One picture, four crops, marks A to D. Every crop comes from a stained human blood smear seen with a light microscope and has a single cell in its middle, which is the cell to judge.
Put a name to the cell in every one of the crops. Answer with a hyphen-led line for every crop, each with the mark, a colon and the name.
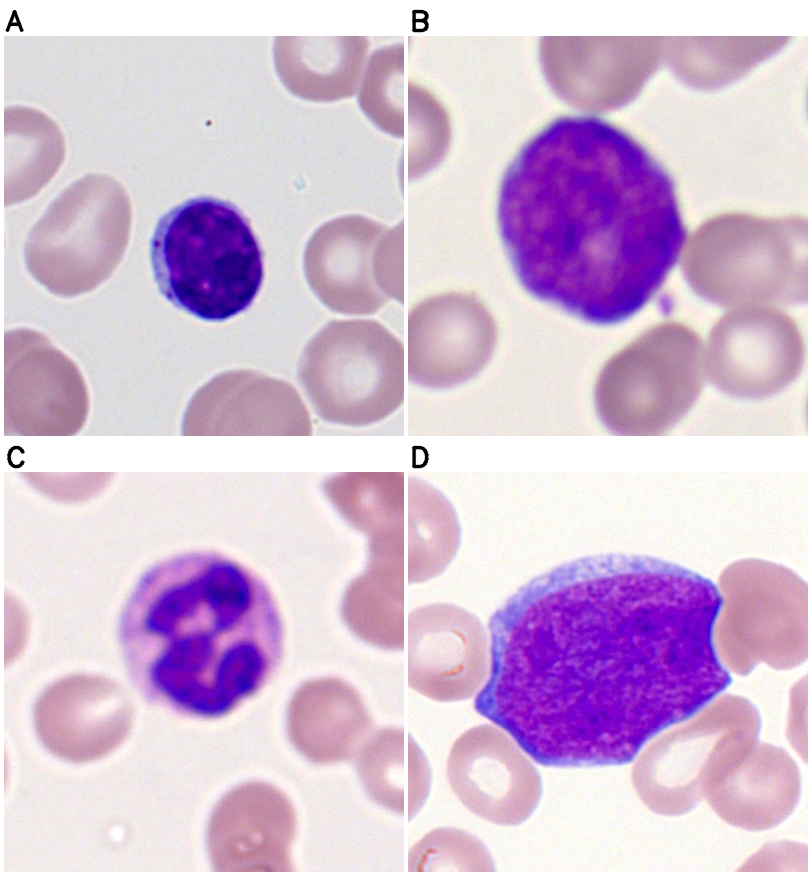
- A: lymphocyte
- B: myeloblast
- C: segmented neutrophil
- D: myeloblast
